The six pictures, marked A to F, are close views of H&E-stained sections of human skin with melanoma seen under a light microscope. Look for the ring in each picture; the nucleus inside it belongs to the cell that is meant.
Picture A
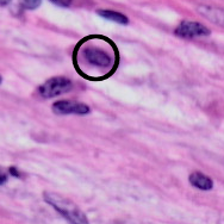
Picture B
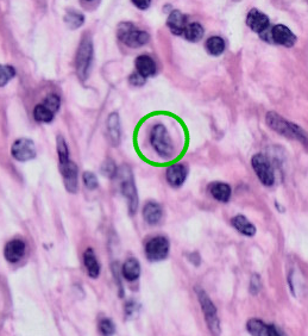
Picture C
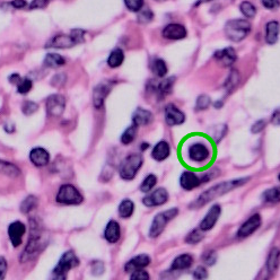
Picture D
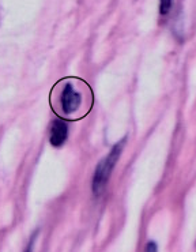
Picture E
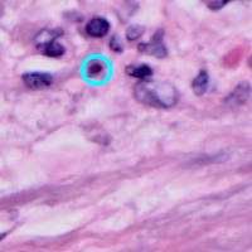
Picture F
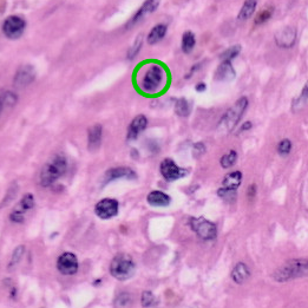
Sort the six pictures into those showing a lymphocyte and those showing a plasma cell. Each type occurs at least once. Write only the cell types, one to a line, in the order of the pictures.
plasma cell
plasma cell
lymphocyte
lymphocyte
plasma cell
plasma cell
